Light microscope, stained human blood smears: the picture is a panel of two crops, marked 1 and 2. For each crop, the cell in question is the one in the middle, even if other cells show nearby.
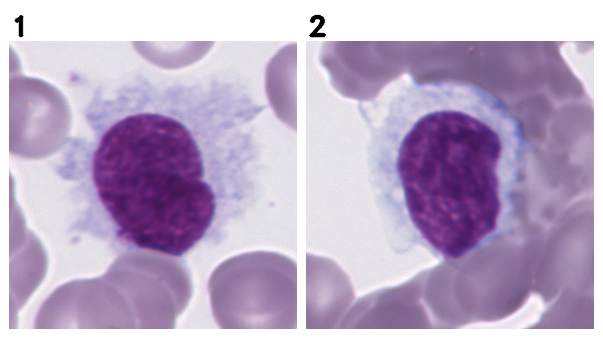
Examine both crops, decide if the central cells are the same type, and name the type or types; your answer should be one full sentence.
Yes, hairy cells are the central cells in the two crops.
